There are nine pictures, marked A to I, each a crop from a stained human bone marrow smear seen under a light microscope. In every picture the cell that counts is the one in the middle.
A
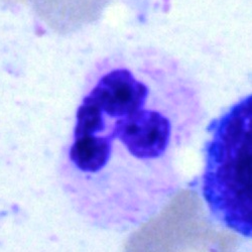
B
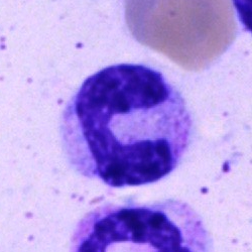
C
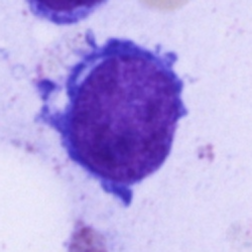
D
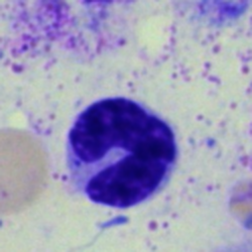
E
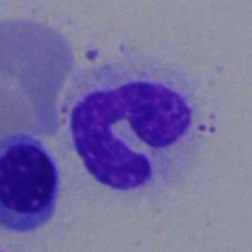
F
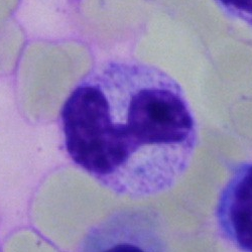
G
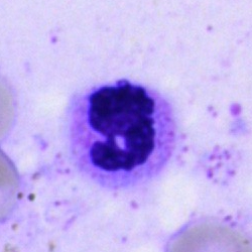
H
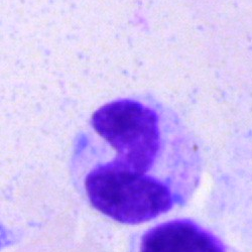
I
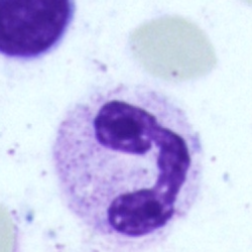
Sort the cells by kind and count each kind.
segmented neutrophil: 4
band neutrophil: 4
proerythroblast: 1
